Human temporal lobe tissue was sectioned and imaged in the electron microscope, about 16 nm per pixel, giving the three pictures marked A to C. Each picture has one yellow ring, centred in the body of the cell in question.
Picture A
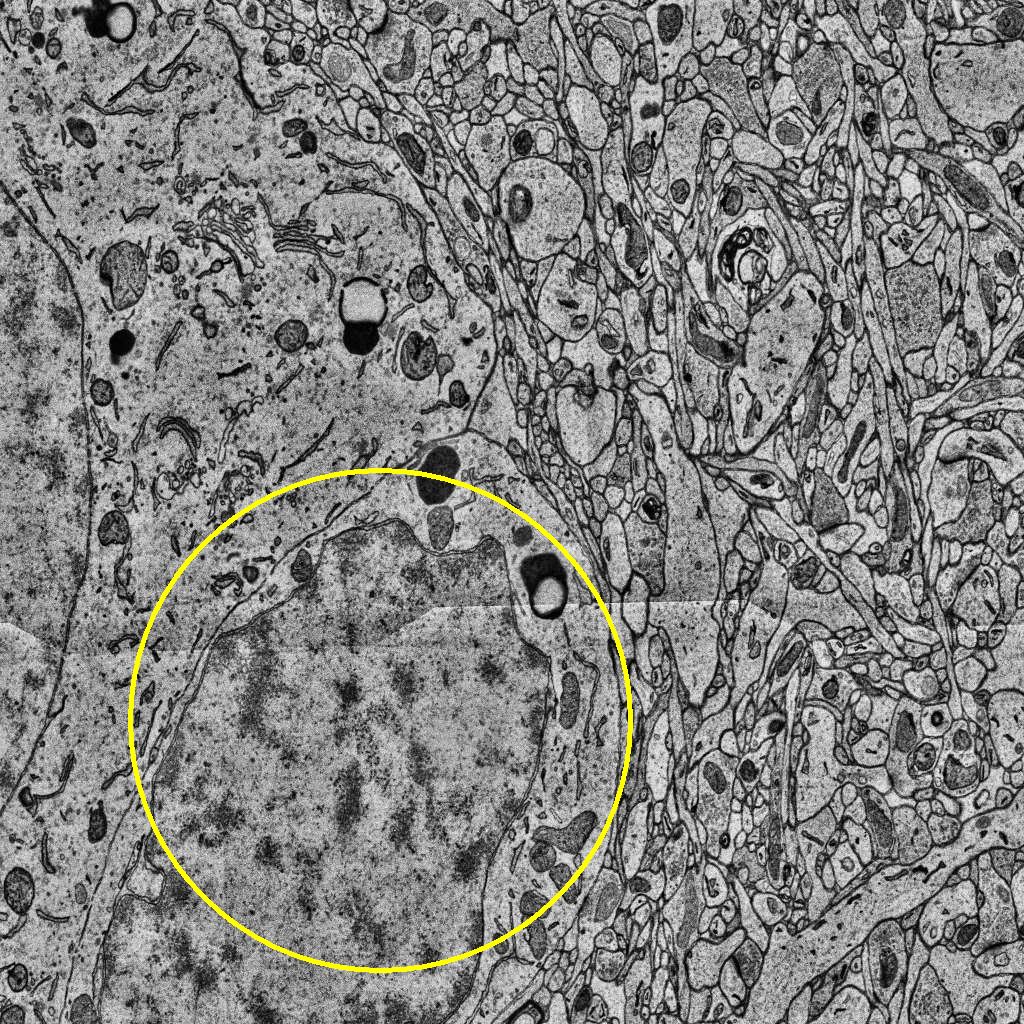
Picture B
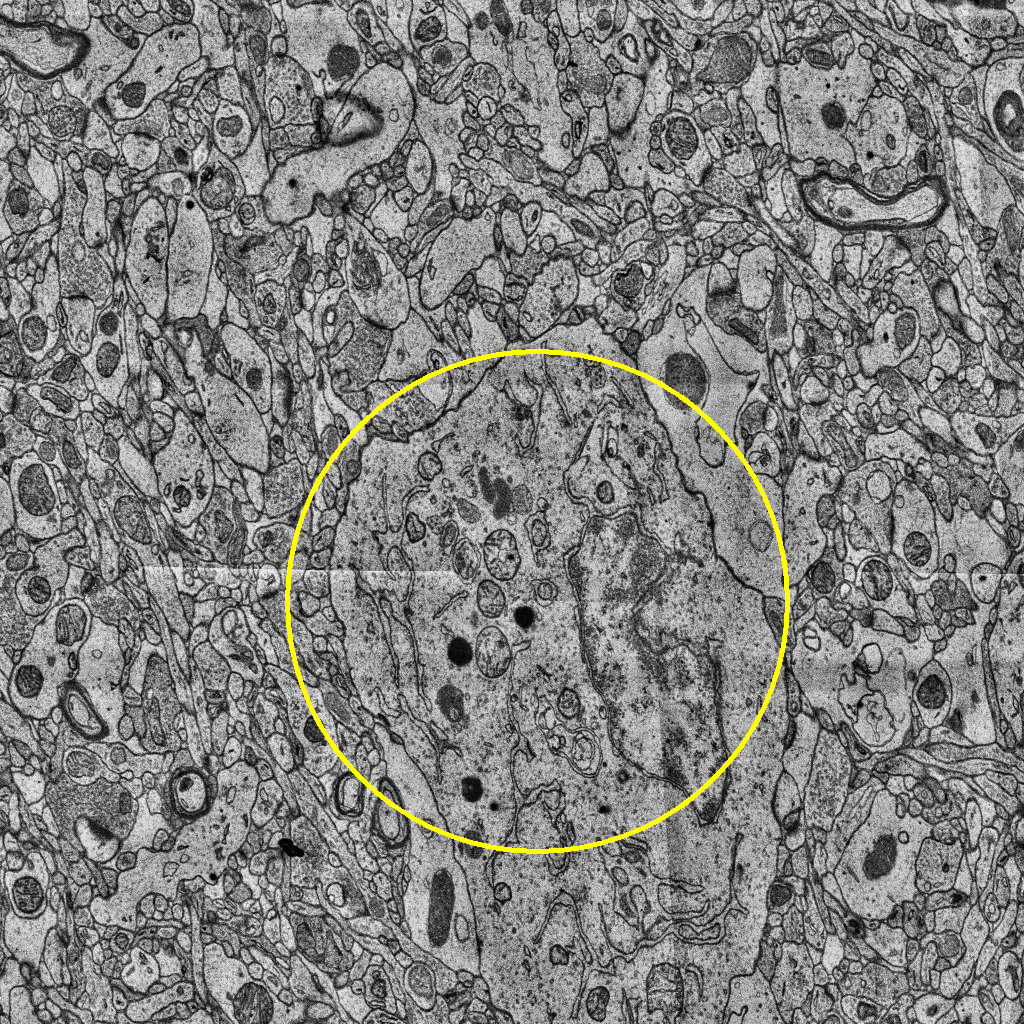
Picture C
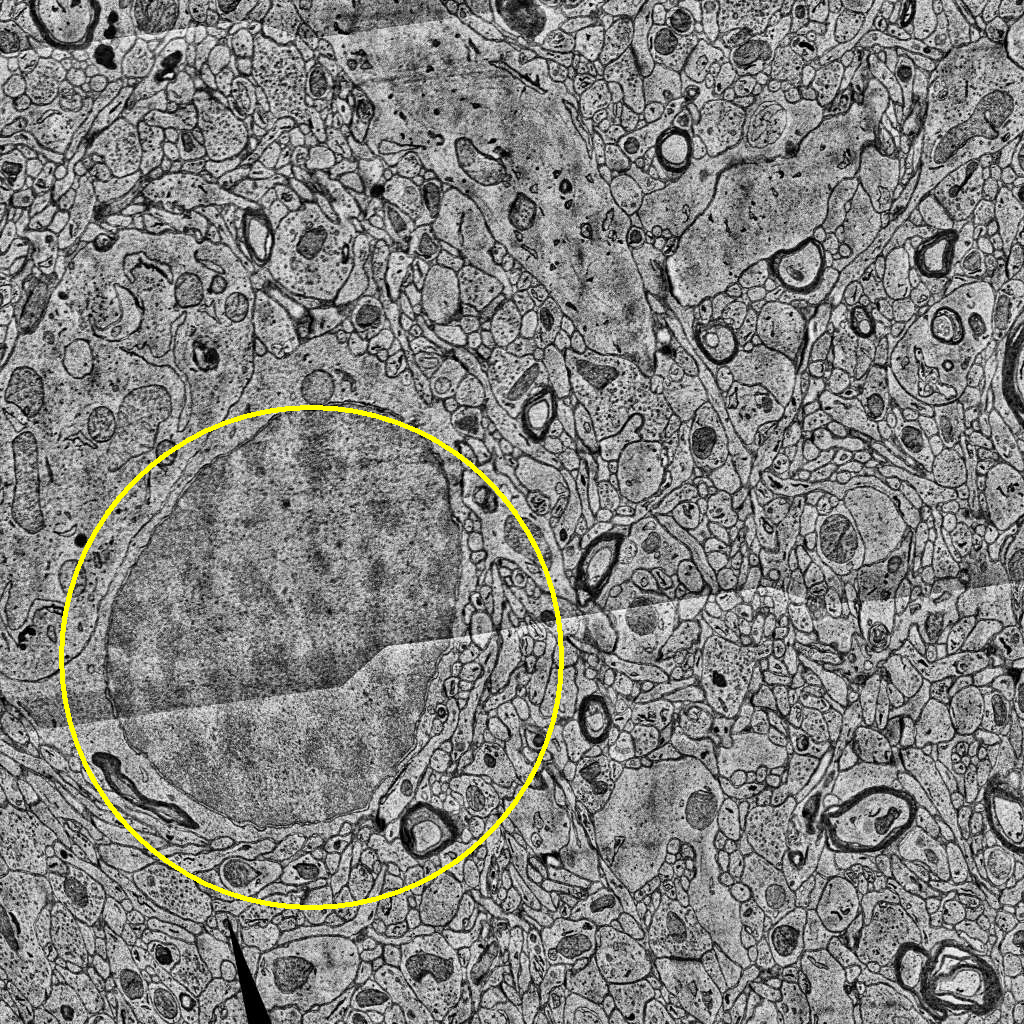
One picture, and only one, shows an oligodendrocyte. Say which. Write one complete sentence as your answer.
Picture C is the one that shows the oligodendrocyte.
